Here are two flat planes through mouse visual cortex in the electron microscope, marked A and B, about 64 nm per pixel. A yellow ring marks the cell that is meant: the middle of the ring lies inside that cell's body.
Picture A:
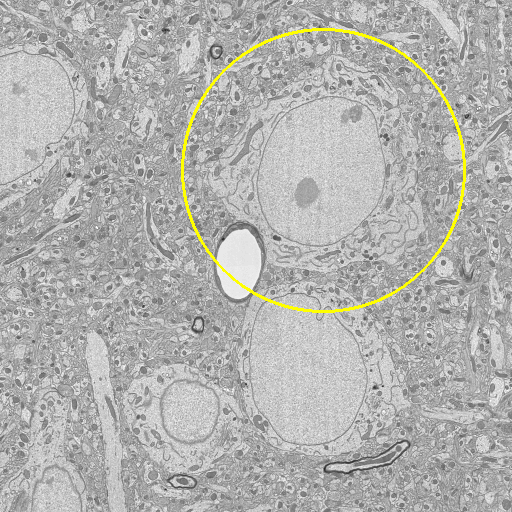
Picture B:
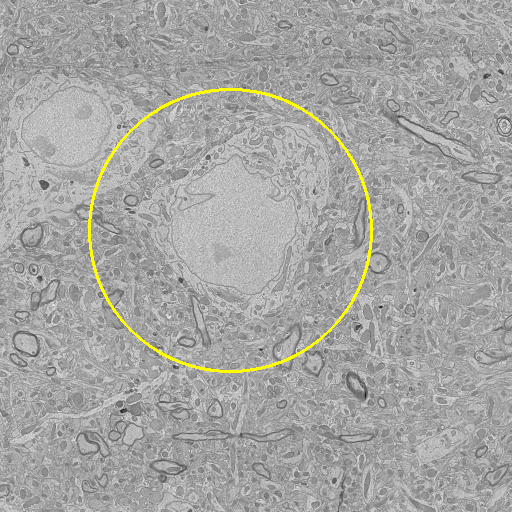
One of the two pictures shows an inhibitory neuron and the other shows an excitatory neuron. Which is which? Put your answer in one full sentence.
It is picture A that shows an excitatory neuron, and picture B that shows an inhibitory neuron.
